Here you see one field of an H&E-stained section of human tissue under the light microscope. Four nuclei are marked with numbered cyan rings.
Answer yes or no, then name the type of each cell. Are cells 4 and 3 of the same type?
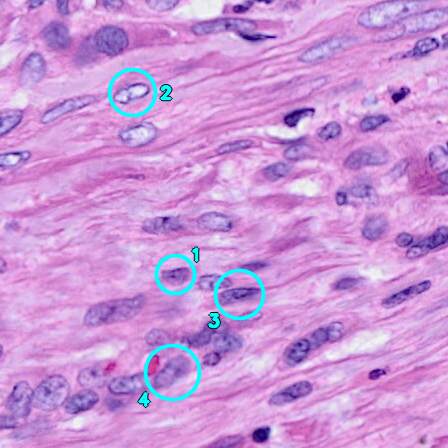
No, cell 4 is an endothelial cell and cell 3 is a fibroblast.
